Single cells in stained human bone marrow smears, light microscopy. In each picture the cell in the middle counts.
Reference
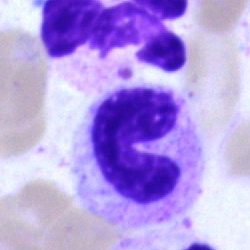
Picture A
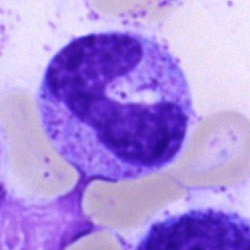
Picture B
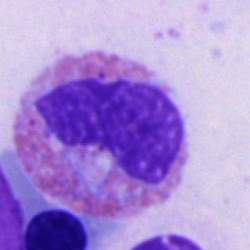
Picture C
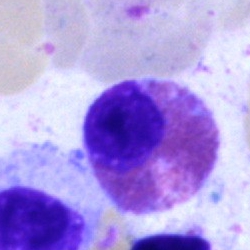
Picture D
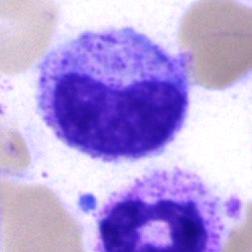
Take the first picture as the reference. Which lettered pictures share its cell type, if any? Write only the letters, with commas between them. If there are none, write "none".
A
